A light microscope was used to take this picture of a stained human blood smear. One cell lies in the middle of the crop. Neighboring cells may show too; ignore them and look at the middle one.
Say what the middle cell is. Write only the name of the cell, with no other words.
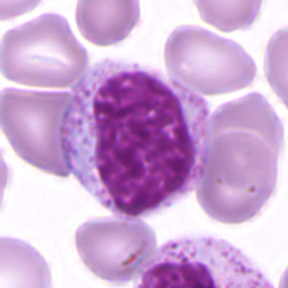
metamyelocyte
